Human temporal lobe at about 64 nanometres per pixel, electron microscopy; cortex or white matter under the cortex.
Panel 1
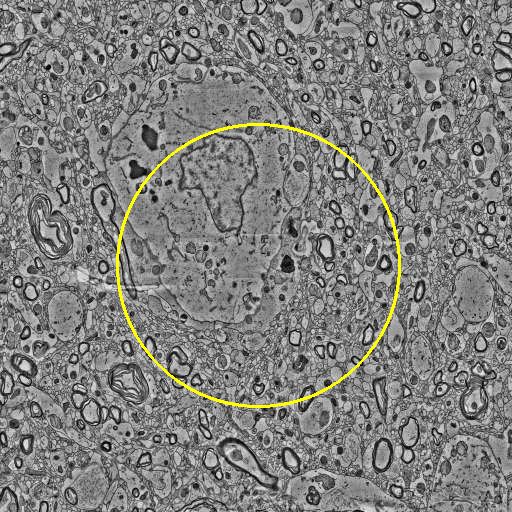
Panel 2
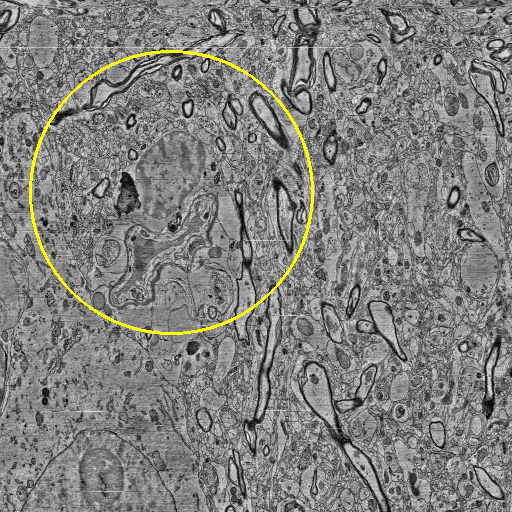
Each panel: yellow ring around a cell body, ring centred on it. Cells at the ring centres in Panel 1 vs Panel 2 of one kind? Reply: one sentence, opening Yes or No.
Yes, Panel 1 and Panel 2 have cells of one kind at the ring centres.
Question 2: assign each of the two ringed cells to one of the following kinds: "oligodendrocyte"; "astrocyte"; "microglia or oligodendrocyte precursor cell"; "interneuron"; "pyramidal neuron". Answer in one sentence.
The cell in the first picture is an oligodendrocyte, and so is the one in the second.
